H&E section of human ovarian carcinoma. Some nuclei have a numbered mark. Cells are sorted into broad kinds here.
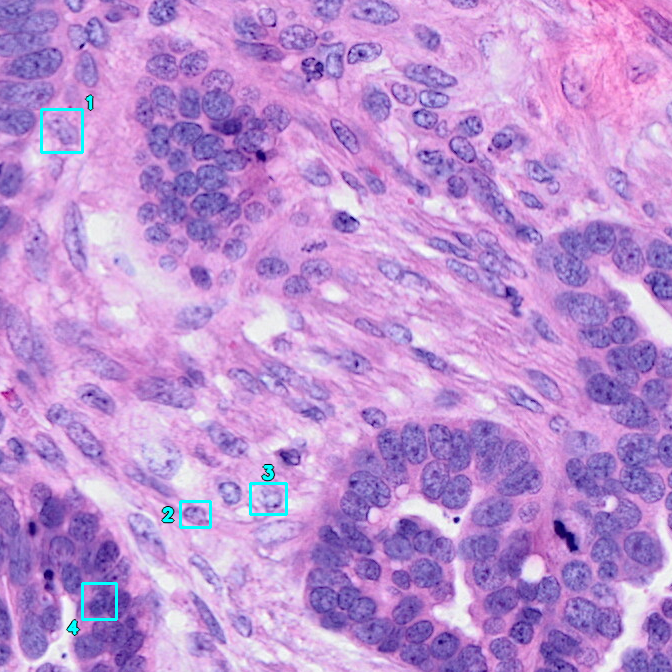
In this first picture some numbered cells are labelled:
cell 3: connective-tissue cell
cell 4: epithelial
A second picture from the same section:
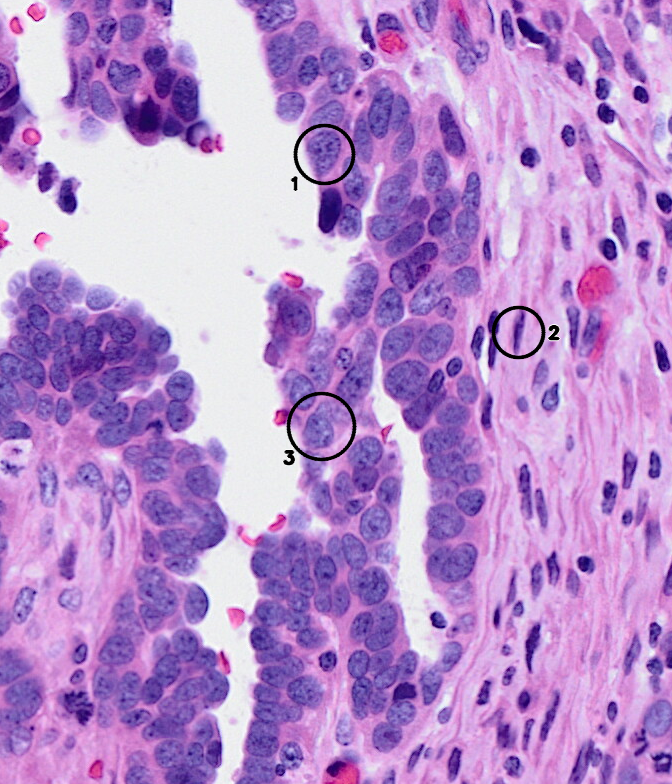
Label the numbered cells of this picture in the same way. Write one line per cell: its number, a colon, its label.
1: epithelial
2: connective-tissue cell
3: epithelial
